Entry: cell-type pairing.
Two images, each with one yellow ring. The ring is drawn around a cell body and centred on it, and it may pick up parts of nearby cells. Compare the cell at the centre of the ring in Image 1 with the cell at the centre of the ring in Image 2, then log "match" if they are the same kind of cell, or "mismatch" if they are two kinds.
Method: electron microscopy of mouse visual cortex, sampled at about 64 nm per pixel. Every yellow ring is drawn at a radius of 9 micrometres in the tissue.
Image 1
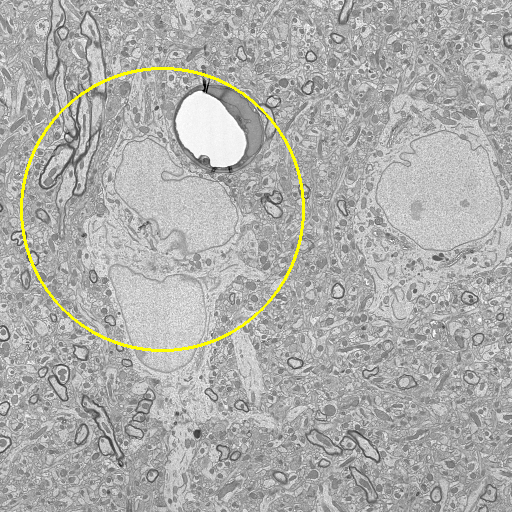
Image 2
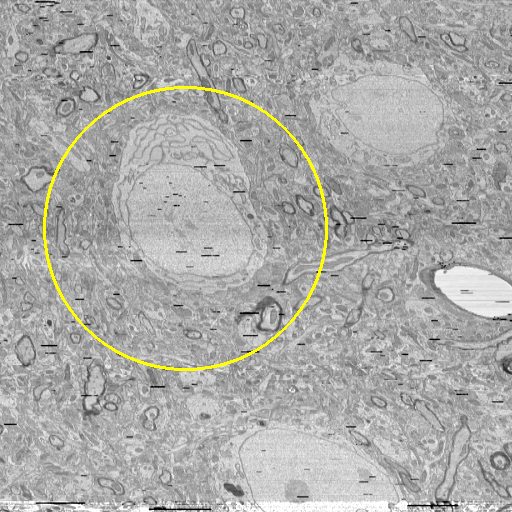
match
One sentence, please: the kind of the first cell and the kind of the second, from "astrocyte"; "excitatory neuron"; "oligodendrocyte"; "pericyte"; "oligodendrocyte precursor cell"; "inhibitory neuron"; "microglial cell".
Each of the two pictures has an inhibitory neuron at the ring centre.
